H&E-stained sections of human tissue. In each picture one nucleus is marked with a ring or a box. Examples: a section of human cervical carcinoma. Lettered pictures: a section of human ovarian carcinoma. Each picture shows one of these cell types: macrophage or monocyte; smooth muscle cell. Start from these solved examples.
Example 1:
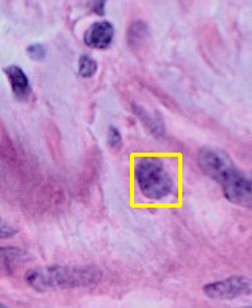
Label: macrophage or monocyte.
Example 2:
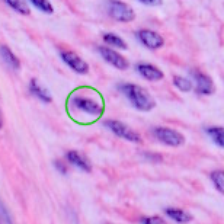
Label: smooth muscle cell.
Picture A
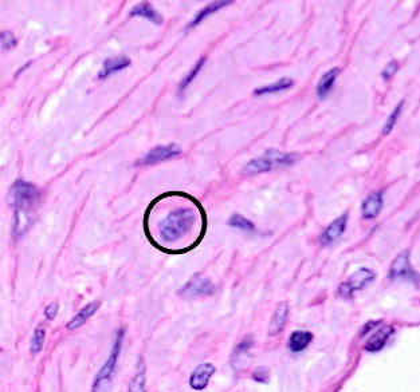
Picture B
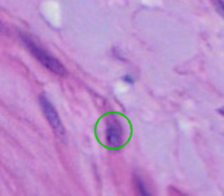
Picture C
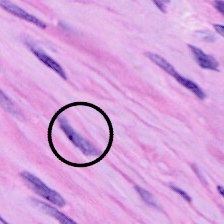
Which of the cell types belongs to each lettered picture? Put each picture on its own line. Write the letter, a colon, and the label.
A: macrophage or monocyte.
B: smooth muscle cell.
C: smooth muscle cell.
